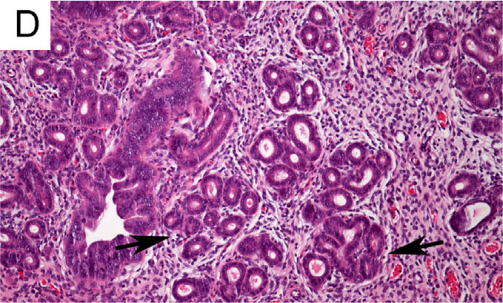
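Endometrium of the uterus in which many glands are grouped into tight clusters of small tubular profiles lined by columnar epithelium with crowded, dark purple nuclei. The glands lie in a loose, paler stroma of spindle-shaped cells, with small vessels holding red blood cells scattered between them. A larger irregular gland with a folded epithelial lining sits at the left.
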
